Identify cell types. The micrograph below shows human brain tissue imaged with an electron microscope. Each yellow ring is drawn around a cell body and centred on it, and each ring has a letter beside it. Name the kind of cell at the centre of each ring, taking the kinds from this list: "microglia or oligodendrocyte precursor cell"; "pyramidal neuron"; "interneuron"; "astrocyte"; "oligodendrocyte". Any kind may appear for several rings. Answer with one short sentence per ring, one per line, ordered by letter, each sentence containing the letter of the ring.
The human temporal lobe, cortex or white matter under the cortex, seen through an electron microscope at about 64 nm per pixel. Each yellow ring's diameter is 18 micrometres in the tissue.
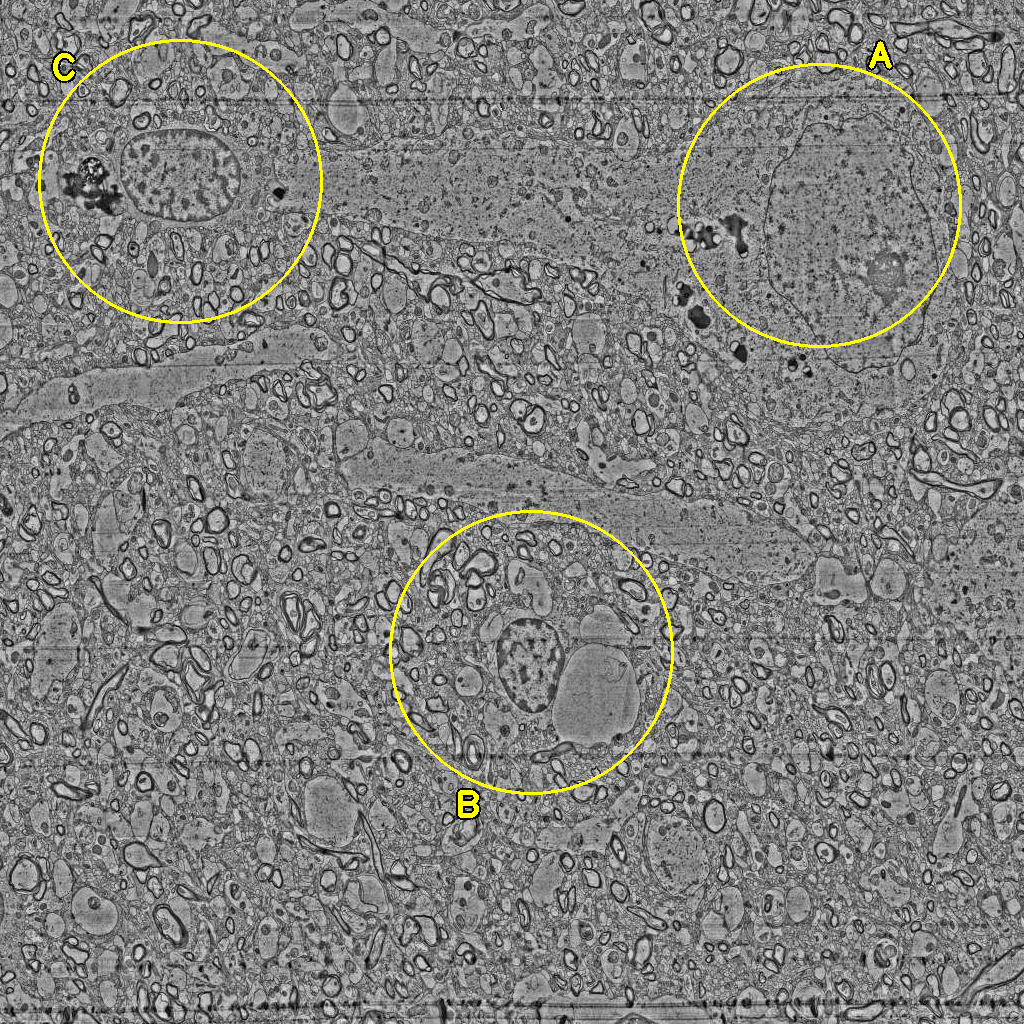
Ring A marks a pyramidal neuron.
Ring B marks a microglial cell or oligodendrocyte precursor cell.
Ring C marks an oligodendrocyte.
